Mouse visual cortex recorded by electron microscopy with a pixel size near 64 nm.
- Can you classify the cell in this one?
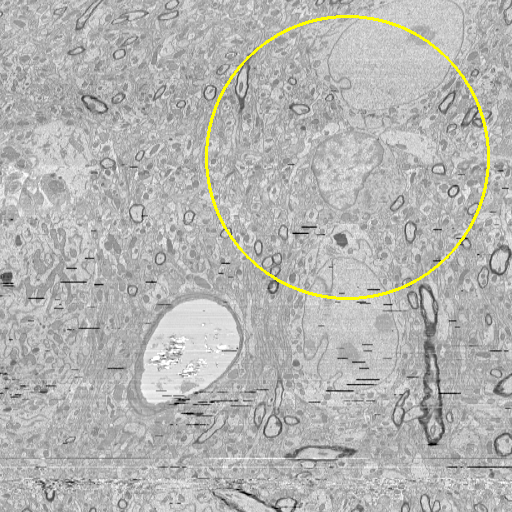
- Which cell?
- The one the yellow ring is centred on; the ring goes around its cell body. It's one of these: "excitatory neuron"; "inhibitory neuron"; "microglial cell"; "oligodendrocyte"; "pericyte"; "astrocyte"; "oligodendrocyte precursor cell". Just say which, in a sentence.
The cell body in the ring belongs to an oligodendrocyte.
